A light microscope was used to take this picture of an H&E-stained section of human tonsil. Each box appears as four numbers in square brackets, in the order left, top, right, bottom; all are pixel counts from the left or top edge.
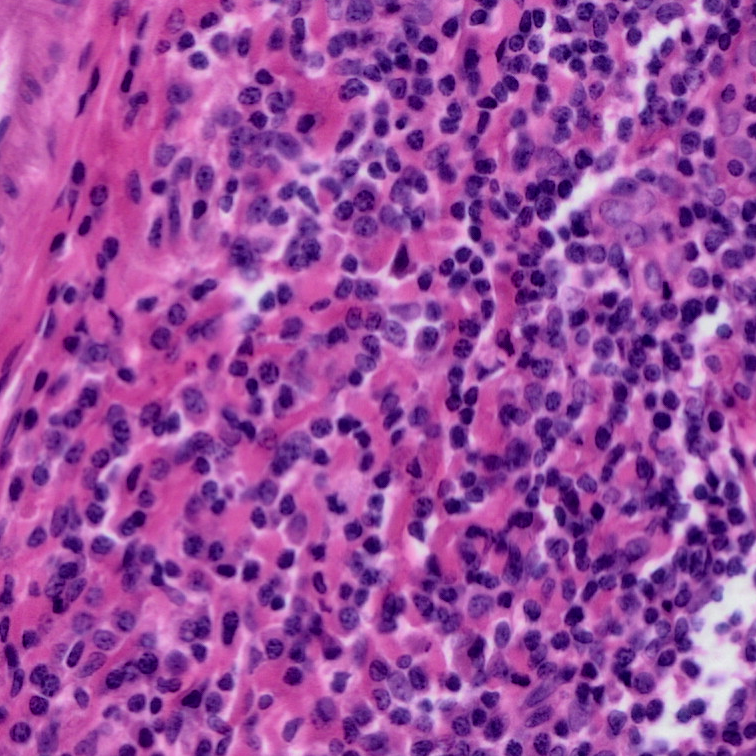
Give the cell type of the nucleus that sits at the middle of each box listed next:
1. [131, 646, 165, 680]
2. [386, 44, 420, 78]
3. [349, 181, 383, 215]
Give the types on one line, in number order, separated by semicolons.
plasma cell; small lymphocyte; plasma cell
